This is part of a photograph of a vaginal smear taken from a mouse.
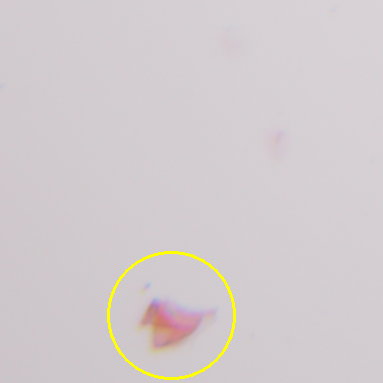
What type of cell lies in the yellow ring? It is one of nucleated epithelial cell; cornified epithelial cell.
The ringed cell is a cornified epithelial cell.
